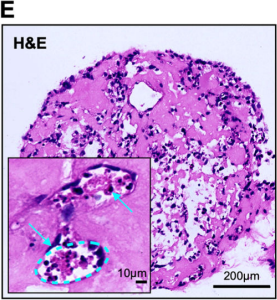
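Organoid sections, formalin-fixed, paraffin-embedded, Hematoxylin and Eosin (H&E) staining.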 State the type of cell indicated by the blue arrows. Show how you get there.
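The arrows in the inset point to small round cells lying inside open spaces. The spaces are lined by thin flattened cells. That points to this answer: hematopoietic cells.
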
